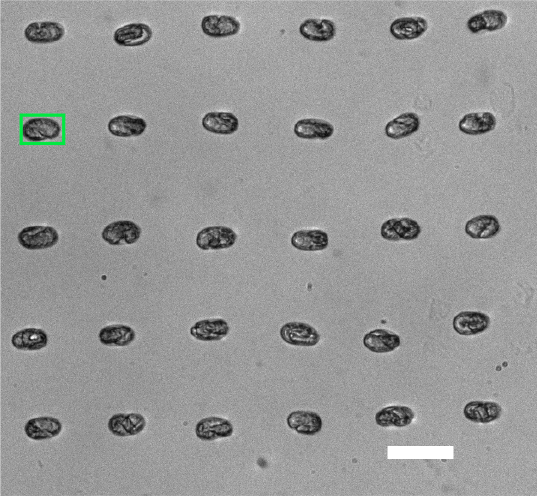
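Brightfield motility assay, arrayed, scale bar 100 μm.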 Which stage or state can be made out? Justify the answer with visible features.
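Many small oval objects are spaced in a regular grid of rows and columns. Each oval has a smooth outer shell around a folded, coiled body inside. All the ovals are of similar size and orientation. On this evidence: Embryos.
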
